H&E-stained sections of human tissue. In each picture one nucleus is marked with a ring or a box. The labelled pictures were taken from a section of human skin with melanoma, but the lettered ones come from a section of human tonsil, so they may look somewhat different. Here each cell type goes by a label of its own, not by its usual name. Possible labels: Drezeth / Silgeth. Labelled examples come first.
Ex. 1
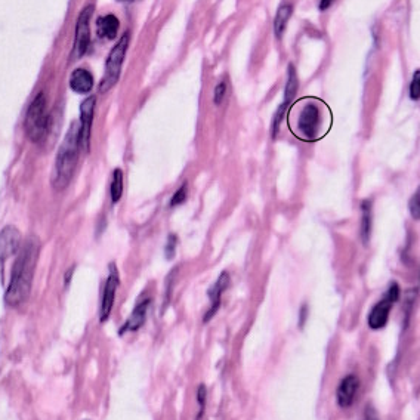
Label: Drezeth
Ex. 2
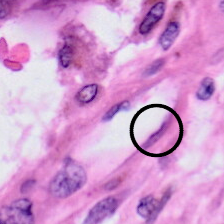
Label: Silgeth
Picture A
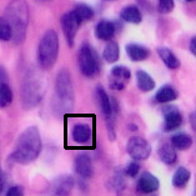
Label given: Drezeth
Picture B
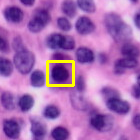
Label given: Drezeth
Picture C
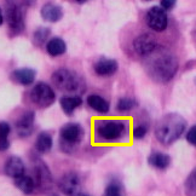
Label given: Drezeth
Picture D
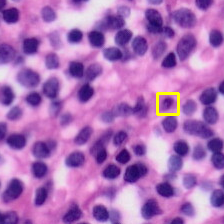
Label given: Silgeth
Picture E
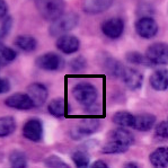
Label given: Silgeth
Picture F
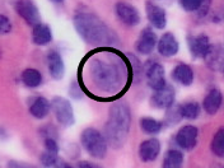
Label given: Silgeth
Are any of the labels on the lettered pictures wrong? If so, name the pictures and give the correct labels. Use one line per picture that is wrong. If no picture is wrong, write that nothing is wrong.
A: change Drezeth to Silgeth
E: change Silgeth to Drezeth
